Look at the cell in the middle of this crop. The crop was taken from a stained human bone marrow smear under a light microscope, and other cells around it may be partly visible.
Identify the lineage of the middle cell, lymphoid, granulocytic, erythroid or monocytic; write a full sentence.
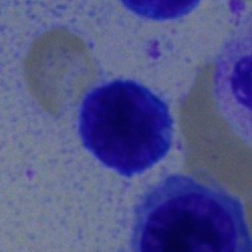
Within the lymphoid lineage lies the cell at the center of the crop.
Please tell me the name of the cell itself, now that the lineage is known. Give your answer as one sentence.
To answer, the cell in the center of the crop is a lymphocyte.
